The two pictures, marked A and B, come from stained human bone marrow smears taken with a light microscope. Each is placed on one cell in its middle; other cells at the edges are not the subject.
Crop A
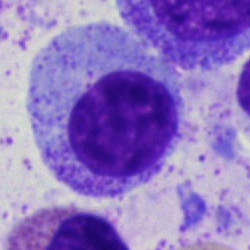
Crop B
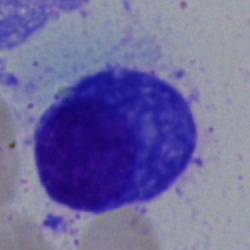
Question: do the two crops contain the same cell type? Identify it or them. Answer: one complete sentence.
No, a myelocyte is the subject of crop A, and a plasma cell is the subject of crop B.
